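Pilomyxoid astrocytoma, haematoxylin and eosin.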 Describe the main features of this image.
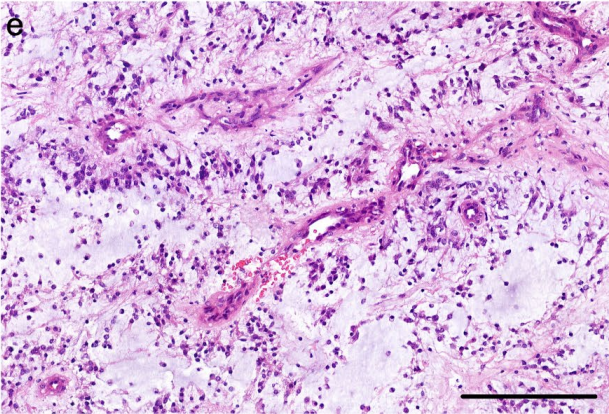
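This tumour consists of uniform bipolar cells with small elongated dark nuclei lying in a pale, bluish-grey myxoid stroma. The cells gather densely around blood vessels, some containing red blood cells, giving a perivascular arrangement, while the stroma between the vessels holds fewer cells.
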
